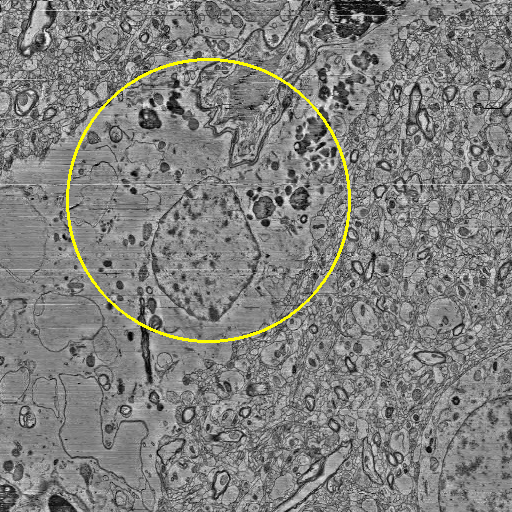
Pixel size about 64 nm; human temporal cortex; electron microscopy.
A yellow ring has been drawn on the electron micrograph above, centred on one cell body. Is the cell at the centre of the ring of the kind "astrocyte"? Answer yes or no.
yes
